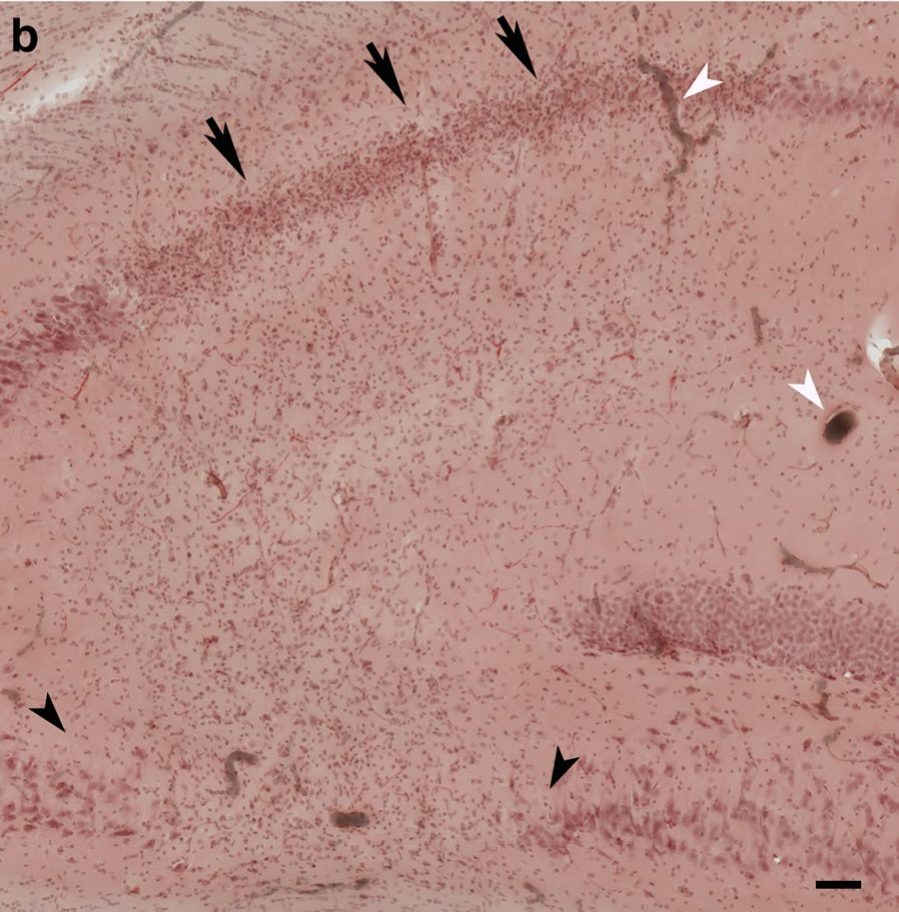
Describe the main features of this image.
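In this stretch of hippocampus, one cell layer across the top is crowded with many small, dark pink nuclei, far denser than the surrounding neuropil, which is the picture of gliosis. Lower down, the band of large pyramidal neurons is thinned and broken, with scattered small nuclei where the neurons should be. Several blood vessels are filled with dark grey-black material, standing out against the pink tissue.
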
